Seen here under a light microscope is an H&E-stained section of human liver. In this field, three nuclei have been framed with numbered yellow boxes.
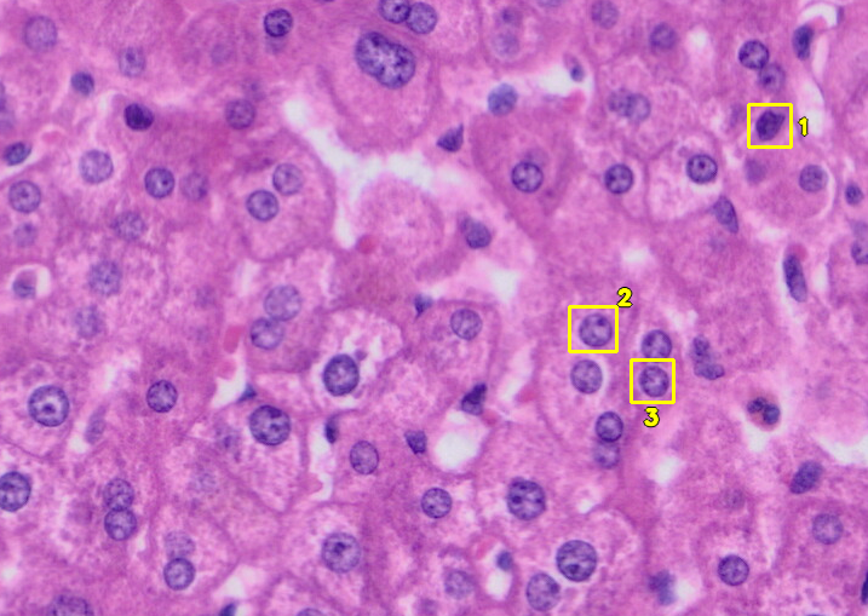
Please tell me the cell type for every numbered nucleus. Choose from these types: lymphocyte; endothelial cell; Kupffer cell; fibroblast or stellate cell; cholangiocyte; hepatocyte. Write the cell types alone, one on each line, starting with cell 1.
Kupffer cell
hepatocyte
hepatocyte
